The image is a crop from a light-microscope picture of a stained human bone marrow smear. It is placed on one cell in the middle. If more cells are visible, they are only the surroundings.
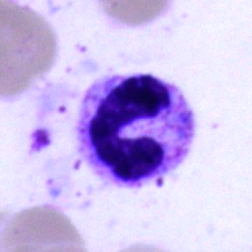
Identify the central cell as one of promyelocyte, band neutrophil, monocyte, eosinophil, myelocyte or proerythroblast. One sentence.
In this crop, the cell at the very middle is a band neutrophil.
